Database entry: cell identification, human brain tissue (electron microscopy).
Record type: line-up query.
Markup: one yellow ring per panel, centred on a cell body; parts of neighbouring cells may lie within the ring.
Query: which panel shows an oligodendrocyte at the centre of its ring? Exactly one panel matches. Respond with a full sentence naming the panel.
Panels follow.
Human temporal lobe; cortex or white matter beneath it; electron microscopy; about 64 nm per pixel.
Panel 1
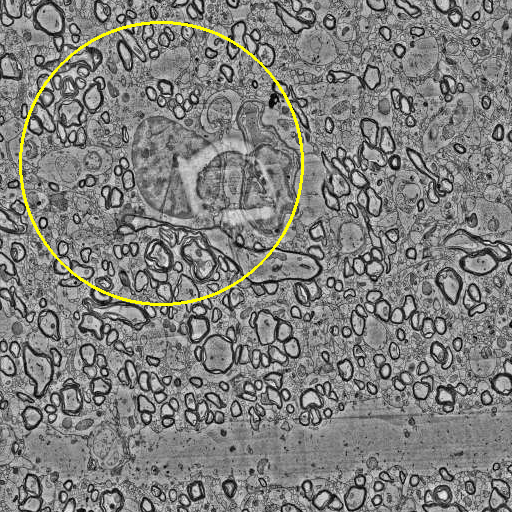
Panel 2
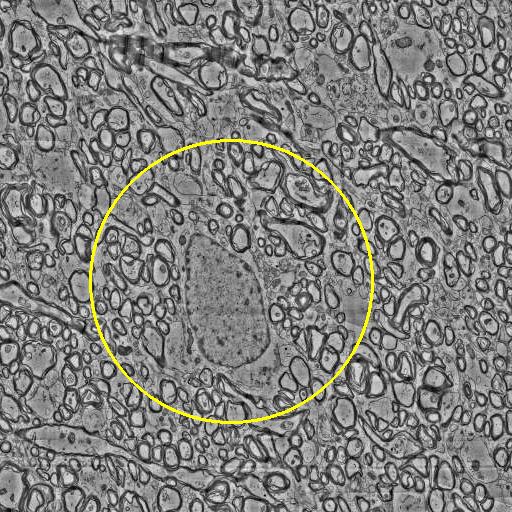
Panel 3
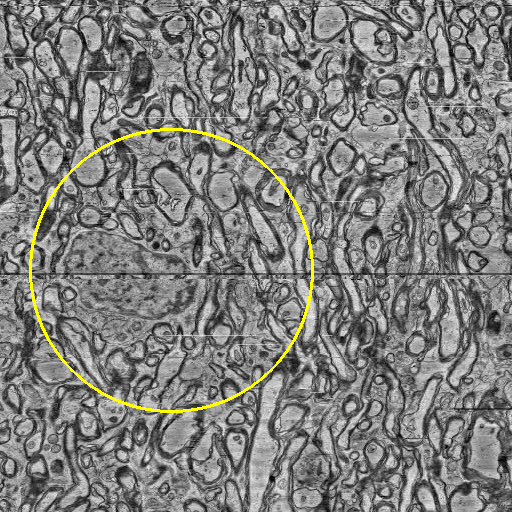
Panel 1 shows it at the centre of the ring.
